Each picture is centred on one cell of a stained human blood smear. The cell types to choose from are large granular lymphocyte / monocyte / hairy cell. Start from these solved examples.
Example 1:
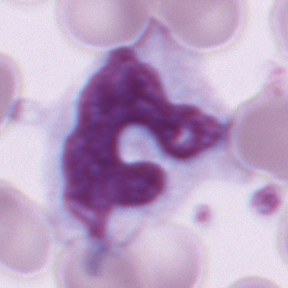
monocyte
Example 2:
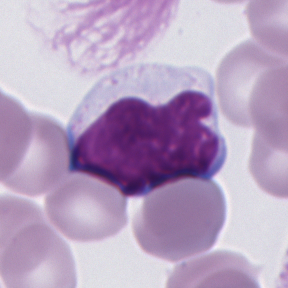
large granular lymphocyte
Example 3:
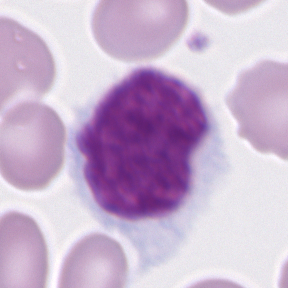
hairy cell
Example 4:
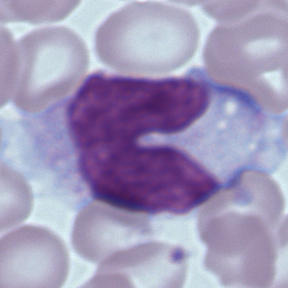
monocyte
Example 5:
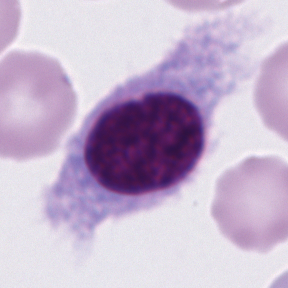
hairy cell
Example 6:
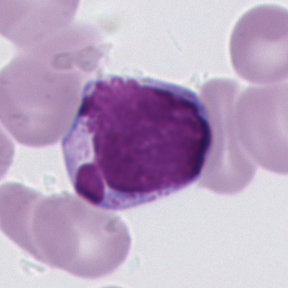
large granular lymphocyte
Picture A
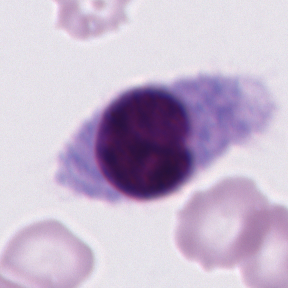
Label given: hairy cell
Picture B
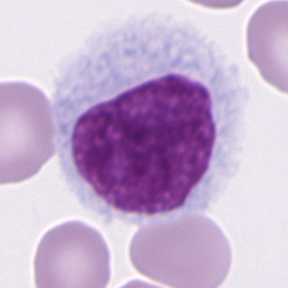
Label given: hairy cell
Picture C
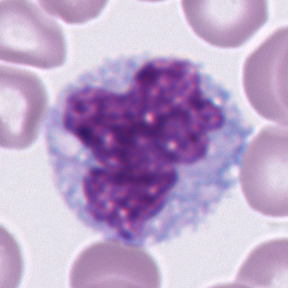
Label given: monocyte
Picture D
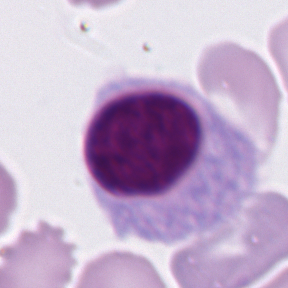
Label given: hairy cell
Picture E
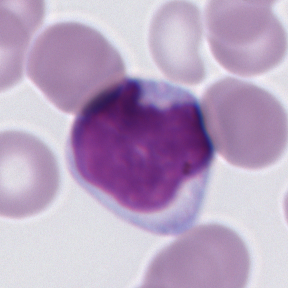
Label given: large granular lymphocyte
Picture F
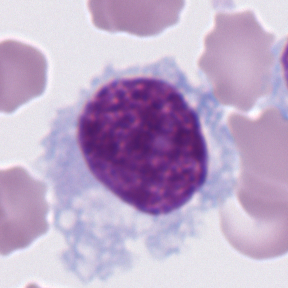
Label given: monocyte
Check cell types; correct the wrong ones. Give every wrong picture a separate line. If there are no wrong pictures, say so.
F: hairy cell, not monocyte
